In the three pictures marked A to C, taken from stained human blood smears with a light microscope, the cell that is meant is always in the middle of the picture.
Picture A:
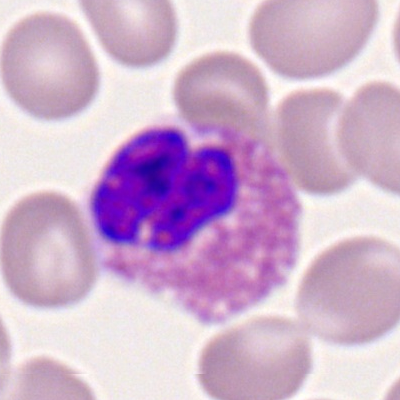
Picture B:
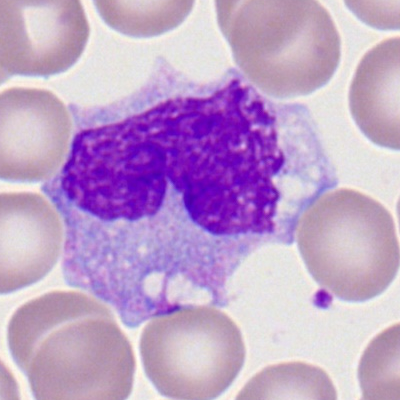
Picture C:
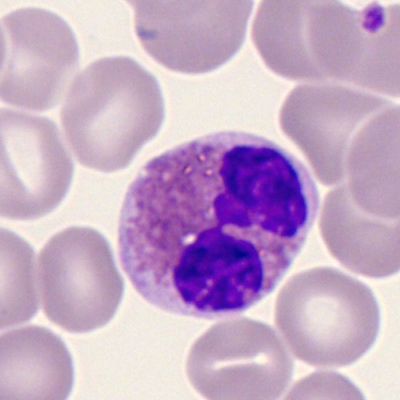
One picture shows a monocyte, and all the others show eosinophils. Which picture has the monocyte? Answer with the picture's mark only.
B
